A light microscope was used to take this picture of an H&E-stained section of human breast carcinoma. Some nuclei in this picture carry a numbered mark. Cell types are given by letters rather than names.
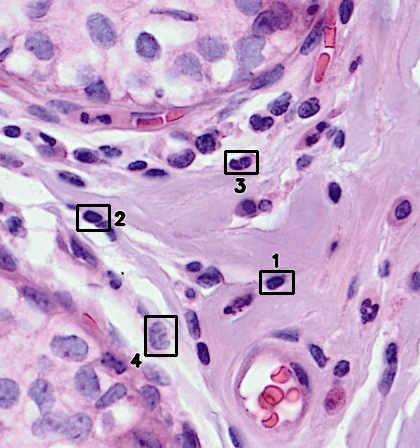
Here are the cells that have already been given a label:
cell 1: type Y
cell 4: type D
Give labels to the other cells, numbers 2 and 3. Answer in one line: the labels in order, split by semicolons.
type Y; type Y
